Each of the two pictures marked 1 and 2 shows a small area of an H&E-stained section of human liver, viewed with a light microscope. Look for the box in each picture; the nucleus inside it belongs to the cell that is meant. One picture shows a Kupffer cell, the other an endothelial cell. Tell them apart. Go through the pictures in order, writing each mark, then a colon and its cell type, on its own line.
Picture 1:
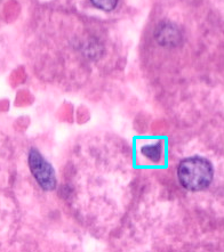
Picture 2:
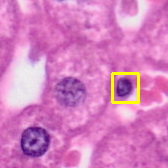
1: endothelial cell
2: Kupffer cell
